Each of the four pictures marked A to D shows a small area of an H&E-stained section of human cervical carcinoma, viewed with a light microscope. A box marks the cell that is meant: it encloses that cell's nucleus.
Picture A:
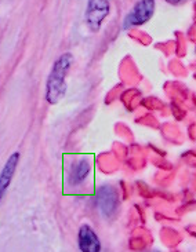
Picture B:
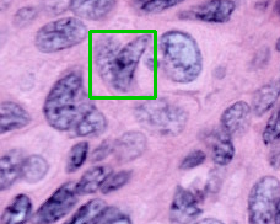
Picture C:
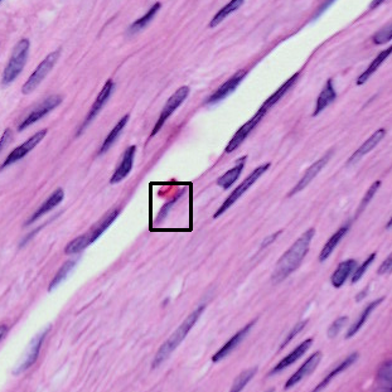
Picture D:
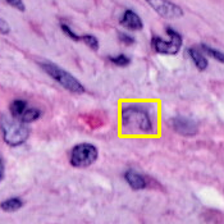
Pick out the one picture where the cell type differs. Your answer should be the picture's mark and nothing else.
B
